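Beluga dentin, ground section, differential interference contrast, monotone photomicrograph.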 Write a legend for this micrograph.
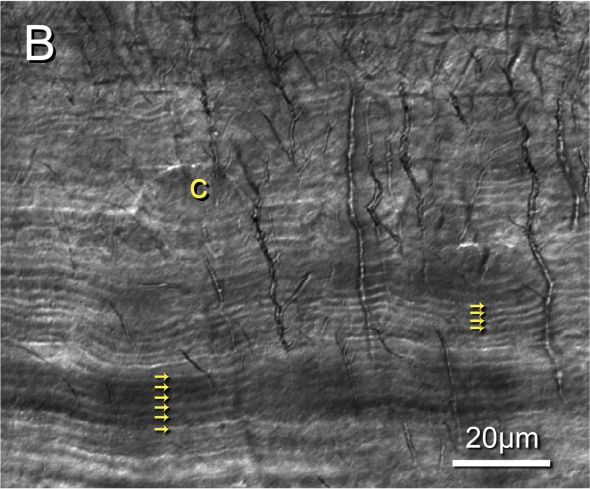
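The bands run roughly horizontally and bend gently, giving the tissue a layered, growth-ring-like look. Dark, wavy, thread-like lines cross the bands more or less at right angles in the upper part of the field. No cells are present; the texture is that of mineralized matrix seen in relief.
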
